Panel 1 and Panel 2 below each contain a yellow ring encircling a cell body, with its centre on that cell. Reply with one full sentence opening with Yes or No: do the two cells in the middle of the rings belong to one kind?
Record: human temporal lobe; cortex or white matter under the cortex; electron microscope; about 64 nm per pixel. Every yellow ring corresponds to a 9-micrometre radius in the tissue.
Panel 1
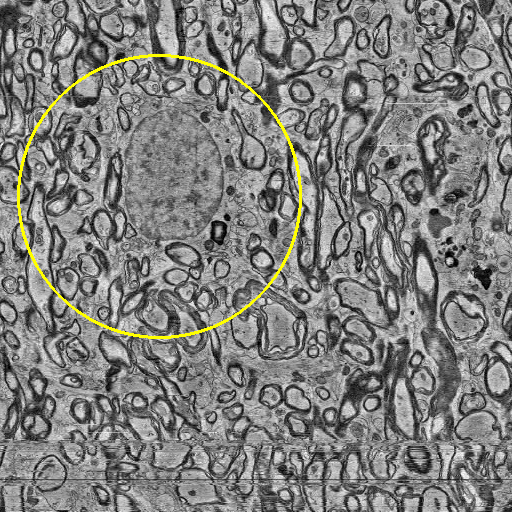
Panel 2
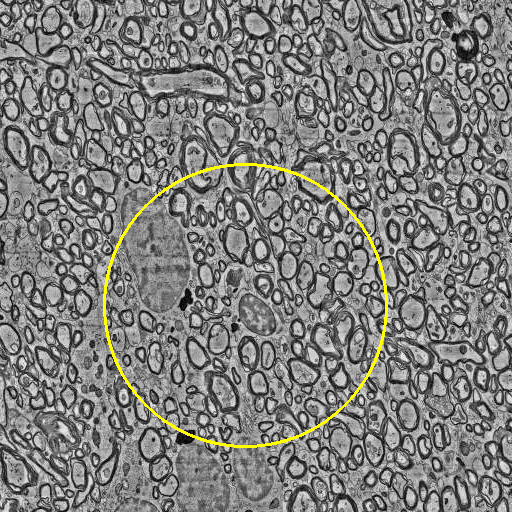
No, the cells at the middle of the Panel 1 ring and the Panel 2 ring are of two kinds.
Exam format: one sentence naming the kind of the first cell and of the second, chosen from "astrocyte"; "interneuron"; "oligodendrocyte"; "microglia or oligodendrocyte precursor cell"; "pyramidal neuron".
The first picture's cell is an oligodendrocyte, and the second picture's cell is a microglial cell or oligodendrocyte precursor cell.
